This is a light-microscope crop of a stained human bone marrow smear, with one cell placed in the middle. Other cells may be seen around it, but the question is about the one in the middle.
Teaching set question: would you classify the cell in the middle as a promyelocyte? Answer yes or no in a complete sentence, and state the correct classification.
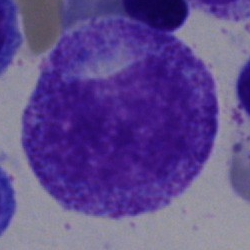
Yes, the cell that lies centrally is a promyelocyte.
